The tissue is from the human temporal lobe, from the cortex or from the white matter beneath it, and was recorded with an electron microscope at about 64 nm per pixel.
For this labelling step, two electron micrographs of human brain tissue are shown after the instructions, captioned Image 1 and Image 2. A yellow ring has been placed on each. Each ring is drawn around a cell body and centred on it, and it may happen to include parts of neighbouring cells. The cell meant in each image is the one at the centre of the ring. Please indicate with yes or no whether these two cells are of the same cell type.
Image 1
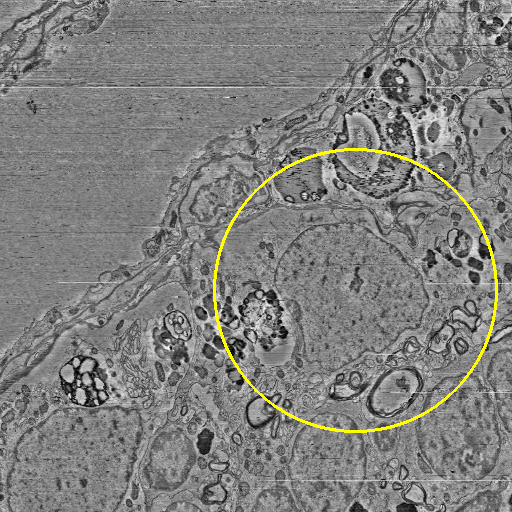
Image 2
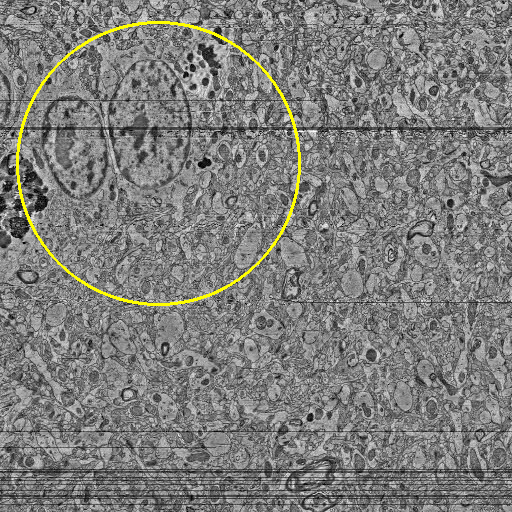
yes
